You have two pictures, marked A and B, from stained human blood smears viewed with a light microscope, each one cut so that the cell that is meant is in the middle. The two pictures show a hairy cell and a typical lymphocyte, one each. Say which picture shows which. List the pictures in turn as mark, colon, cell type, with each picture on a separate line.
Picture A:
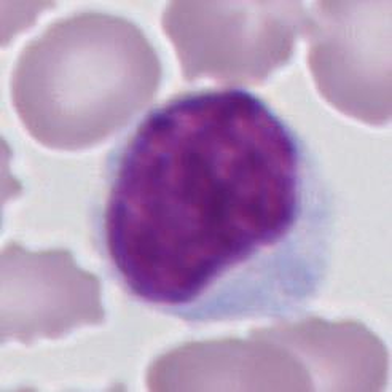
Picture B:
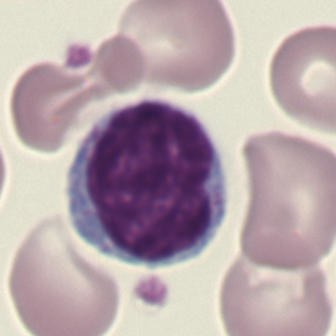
A: hairy cell
B: typical lymphocyte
